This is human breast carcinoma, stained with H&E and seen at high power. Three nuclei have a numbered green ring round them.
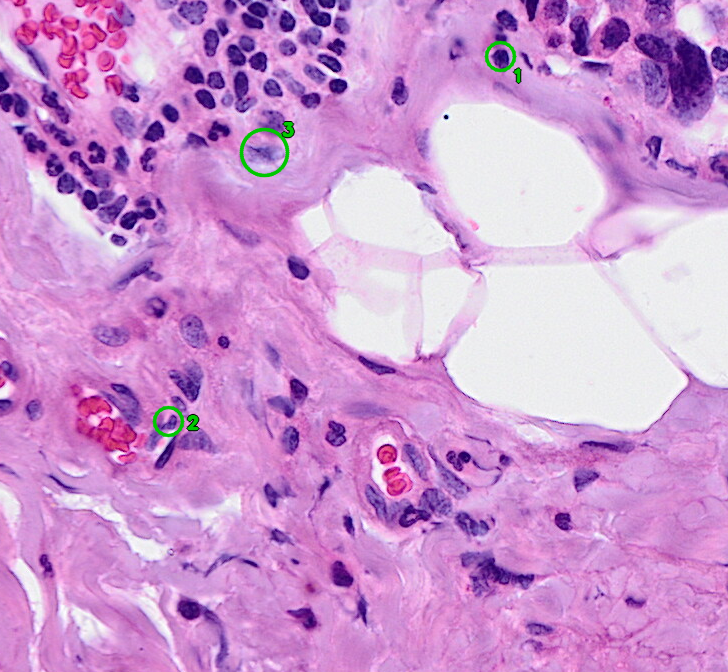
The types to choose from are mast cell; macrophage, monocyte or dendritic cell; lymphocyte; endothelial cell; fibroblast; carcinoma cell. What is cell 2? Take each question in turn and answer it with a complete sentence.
Here, the cell given the number 2 is an endothelial cell.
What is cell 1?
At number 1, the marked cell is a lymphocyte.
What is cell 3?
The nucleus labelled 3 belongs to a fibroblast.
